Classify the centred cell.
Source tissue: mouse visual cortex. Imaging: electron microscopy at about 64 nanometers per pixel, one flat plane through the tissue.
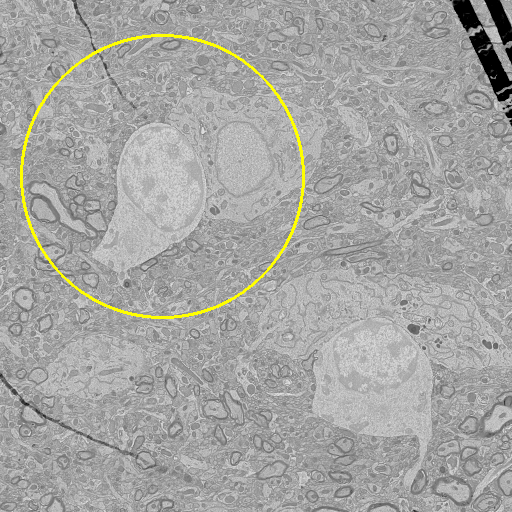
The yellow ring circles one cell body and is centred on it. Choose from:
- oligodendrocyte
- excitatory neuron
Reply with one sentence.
The ring is centred on an oligodendrocyte.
